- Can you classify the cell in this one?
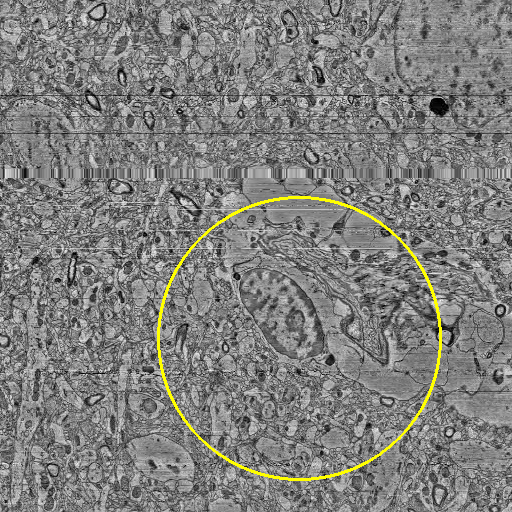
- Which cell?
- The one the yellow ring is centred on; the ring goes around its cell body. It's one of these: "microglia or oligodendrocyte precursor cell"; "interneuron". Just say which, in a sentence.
The cell body in the ring belongs to a microglial cell or oligodendrocyte precursor cell.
